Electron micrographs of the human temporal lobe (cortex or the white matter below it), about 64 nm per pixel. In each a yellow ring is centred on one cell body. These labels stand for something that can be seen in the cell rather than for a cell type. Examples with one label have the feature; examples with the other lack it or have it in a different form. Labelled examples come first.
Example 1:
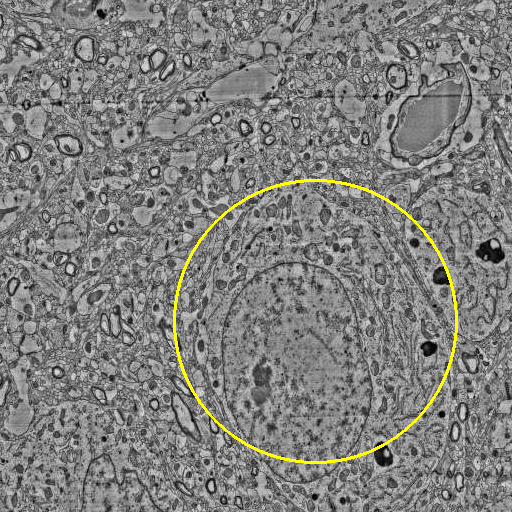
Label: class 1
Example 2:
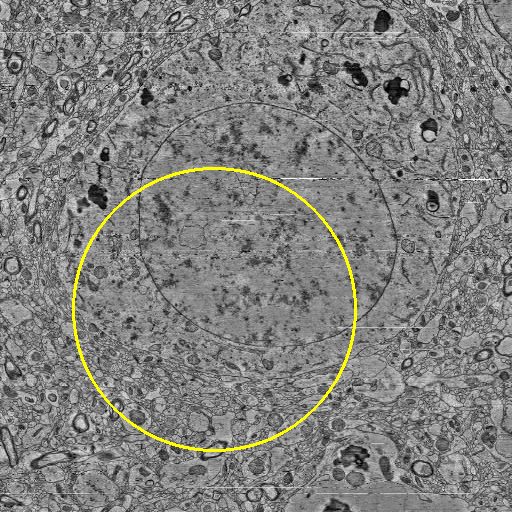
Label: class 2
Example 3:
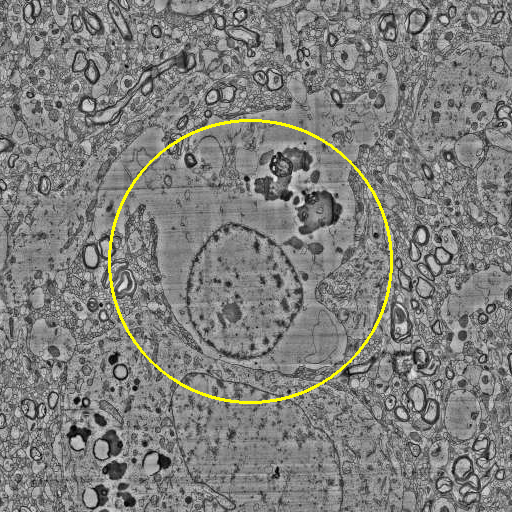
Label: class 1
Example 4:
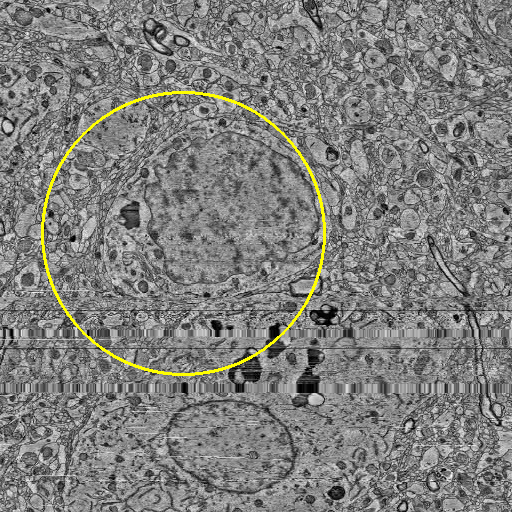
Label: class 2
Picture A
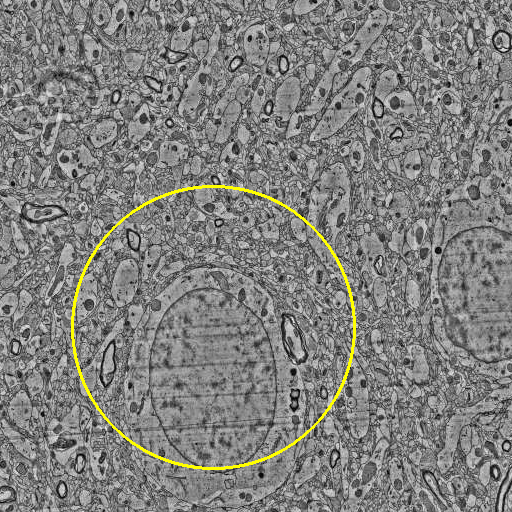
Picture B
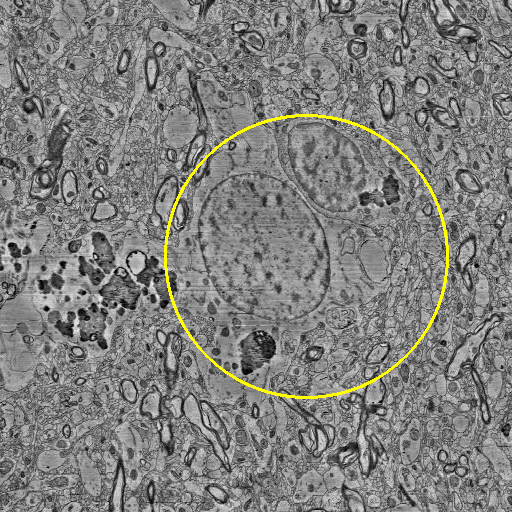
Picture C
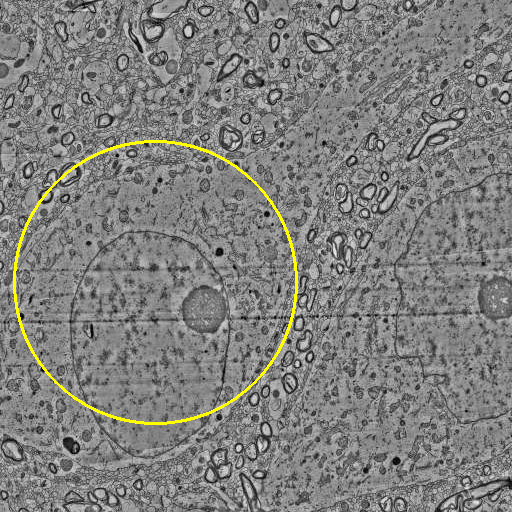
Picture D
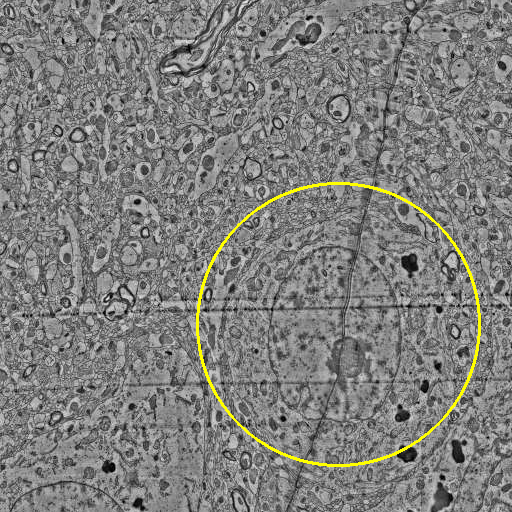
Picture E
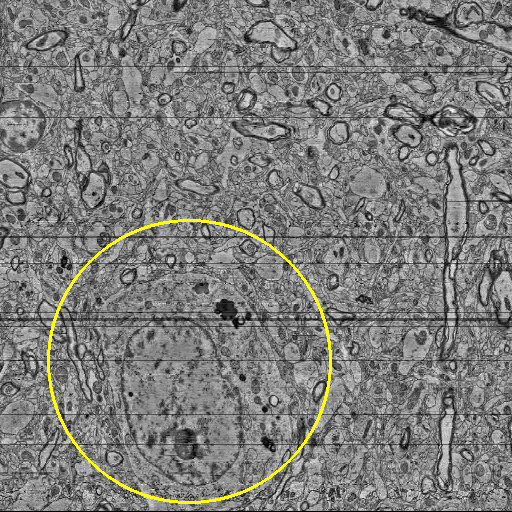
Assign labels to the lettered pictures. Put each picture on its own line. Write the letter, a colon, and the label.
A: class 2
B: class 2
C: class 1
D: class 1
E: class 1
